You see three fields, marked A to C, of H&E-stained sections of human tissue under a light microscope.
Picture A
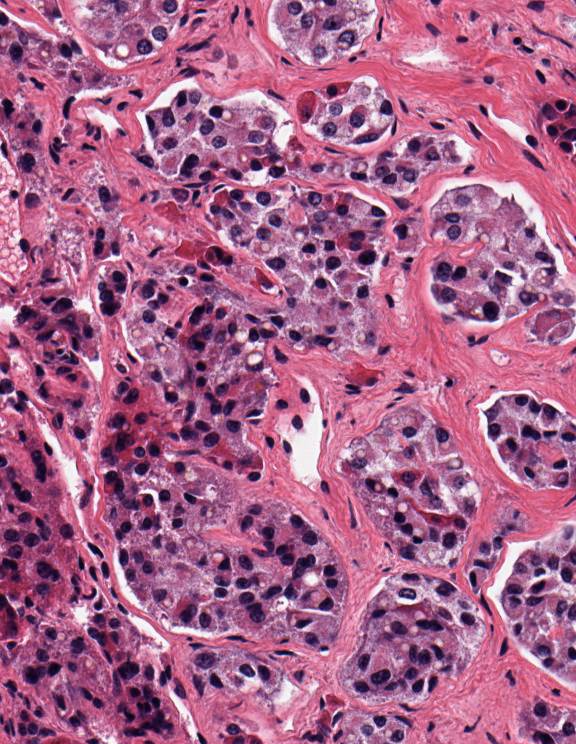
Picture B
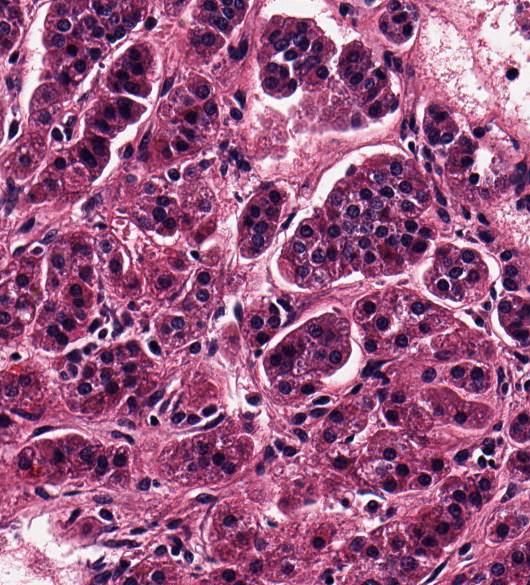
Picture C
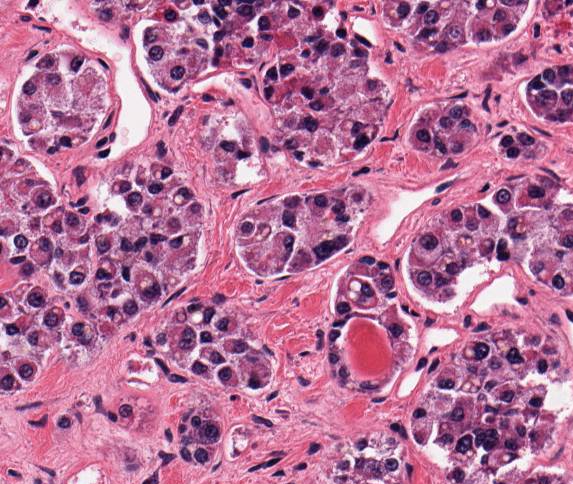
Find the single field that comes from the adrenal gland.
B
